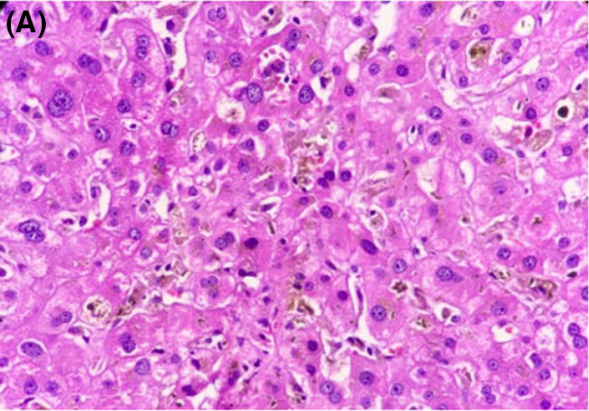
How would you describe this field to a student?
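This is liver parenchyma in which the hepatocytes, large polygonal cells with pink cytoplasm and round nuclei, carry coarse brown-green bile pigment. The pigment sits as granules within the cells and as clumps in the spaces between them, a picture of cholestasis.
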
